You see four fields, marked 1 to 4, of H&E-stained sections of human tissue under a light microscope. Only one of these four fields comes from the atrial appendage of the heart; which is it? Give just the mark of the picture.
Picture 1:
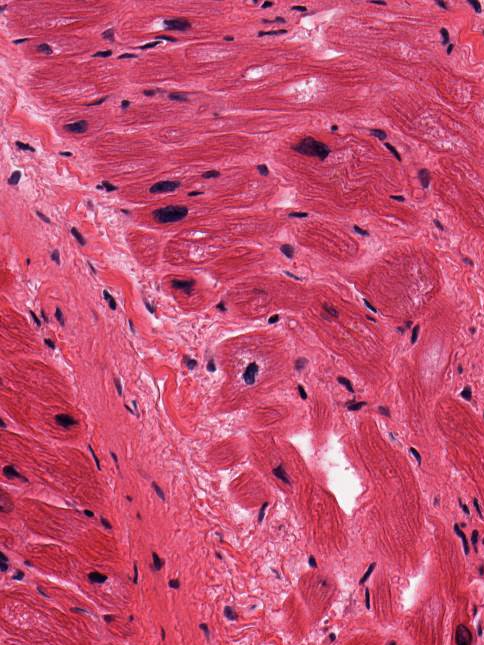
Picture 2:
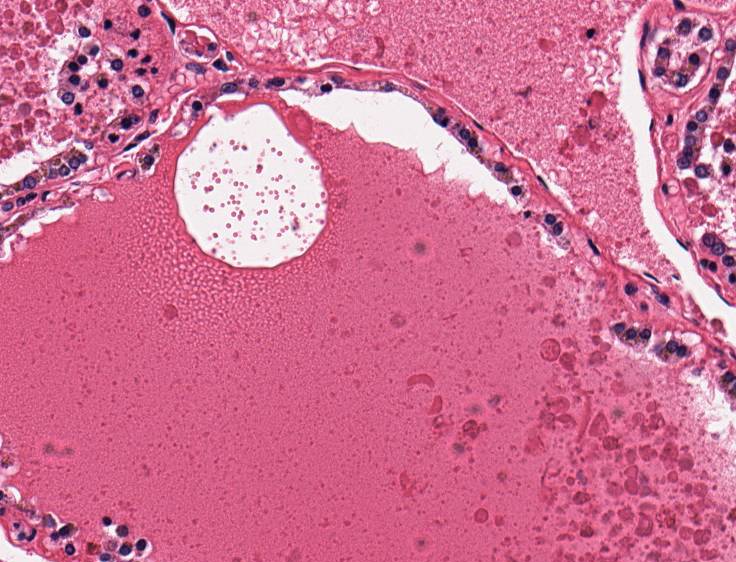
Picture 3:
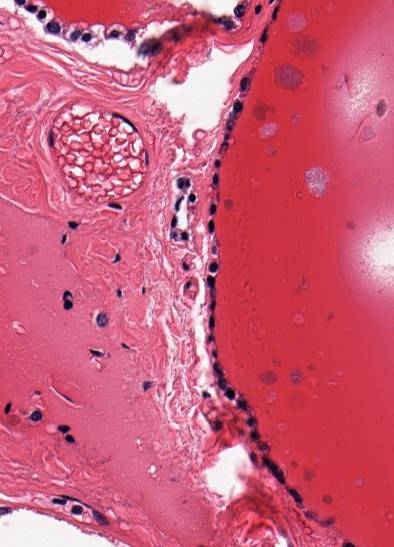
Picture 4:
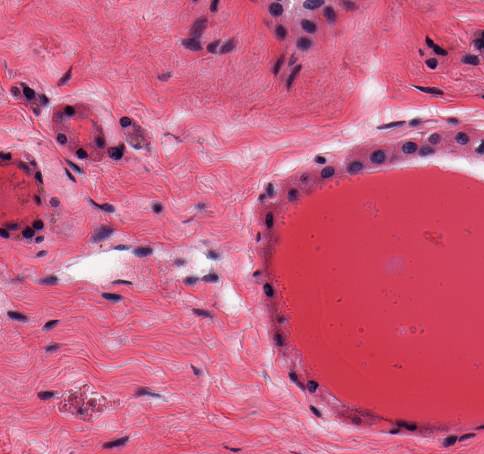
1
